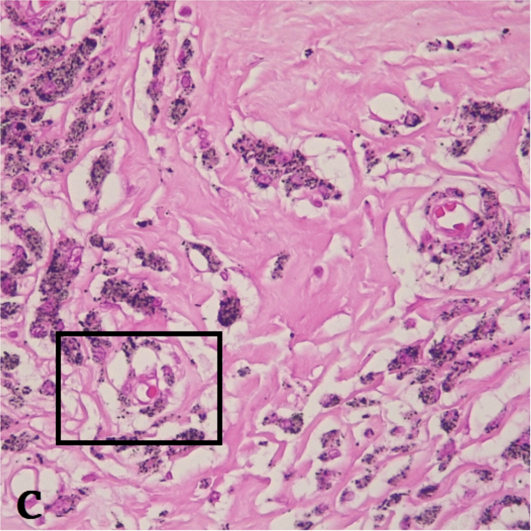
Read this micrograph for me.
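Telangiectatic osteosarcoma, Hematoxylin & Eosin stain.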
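This is a solid, cellular area of the tumour, where malignant stromal cells lie among pale pink collagen, and many of the cells are stuffed with dark pigment. The pigment is coarse and granular, dark purple to black, and fills the cytoplasm of rounded and elongated cells that sit singly or in clusters and cords. These pigment-laden cells are macrophages that have taken up hemosiderin, the breakdown product of blood. Between them run strands of pale eosinophilic fibrous matrix, and here and there small clear spaces and tiny vessels can be seen.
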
